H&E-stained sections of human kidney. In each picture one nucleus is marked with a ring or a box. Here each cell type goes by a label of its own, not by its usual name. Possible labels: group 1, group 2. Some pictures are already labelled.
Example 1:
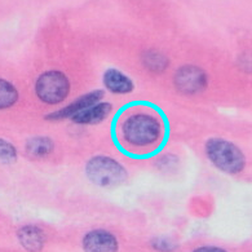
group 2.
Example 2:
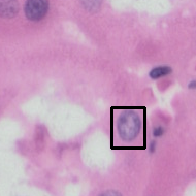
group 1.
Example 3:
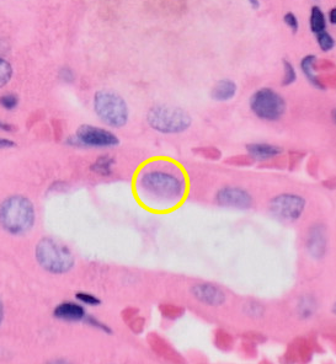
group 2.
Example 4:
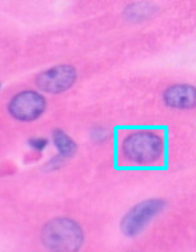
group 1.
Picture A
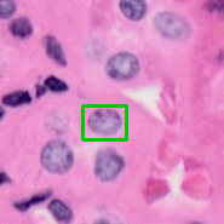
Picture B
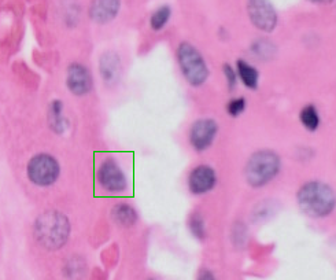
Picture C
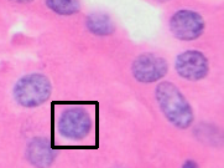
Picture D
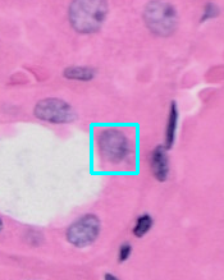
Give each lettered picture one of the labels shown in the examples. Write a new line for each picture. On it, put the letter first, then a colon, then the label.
A: group 2.
B: group 2.
C: group 2.
D: group 2.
